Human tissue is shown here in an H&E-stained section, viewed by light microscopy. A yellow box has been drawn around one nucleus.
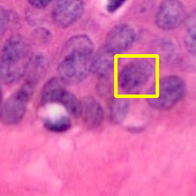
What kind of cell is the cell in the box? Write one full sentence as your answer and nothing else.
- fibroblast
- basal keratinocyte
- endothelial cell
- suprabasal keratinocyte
By its classification, the cell in the box is a basal keratinocyte.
